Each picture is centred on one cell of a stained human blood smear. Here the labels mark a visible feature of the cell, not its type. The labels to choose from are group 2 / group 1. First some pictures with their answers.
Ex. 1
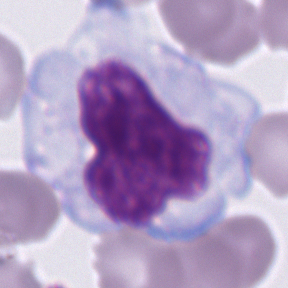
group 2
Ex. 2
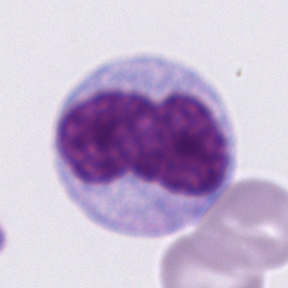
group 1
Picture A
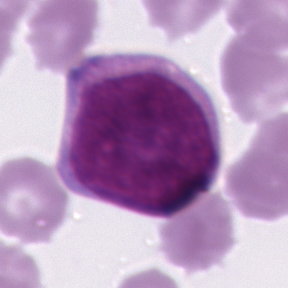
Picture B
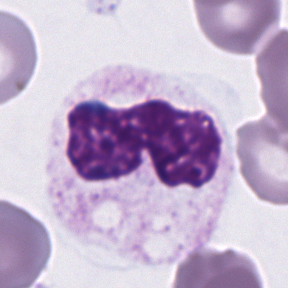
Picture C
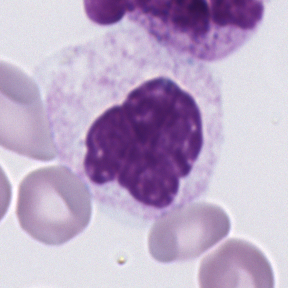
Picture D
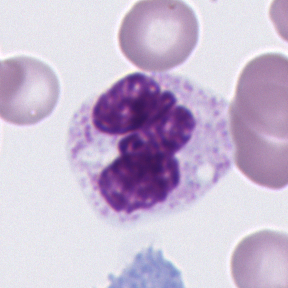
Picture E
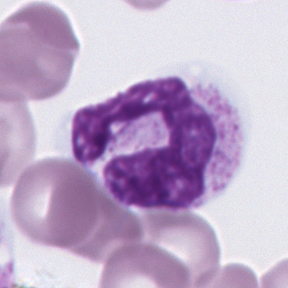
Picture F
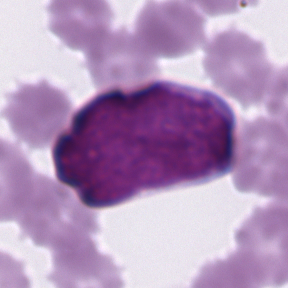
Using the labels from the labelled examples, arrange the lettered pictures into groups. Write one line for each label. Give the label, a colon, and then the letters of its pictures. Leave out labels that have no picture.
group 2: B, D
group 1: A, C, E, F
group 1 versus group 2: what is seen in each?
Seen in group 1: no vacuoles; seen in group 2: vacuoles present.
